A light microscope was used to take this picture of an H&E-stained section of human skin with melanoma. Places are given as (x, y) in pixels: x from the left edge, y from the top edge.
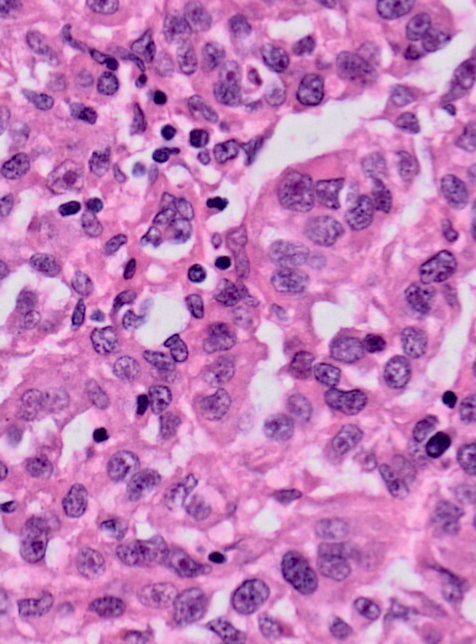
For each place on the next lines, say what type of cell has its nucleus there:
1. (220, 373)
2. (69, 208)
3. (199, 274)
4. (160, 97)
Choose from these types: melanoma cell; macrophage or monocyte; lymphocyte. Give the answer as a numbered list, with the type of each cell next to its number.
1. melanoma cell
2. lymphocyte
3. lymphocyte
4. lymphocyte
